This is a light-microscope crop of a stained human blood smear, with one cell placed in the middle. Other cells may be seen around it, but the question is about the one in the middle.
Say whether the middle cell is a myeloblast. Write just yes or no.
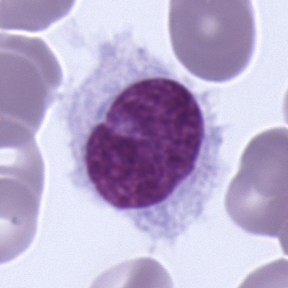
no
